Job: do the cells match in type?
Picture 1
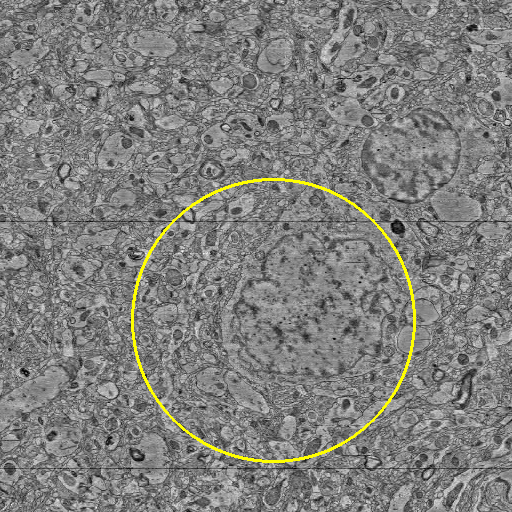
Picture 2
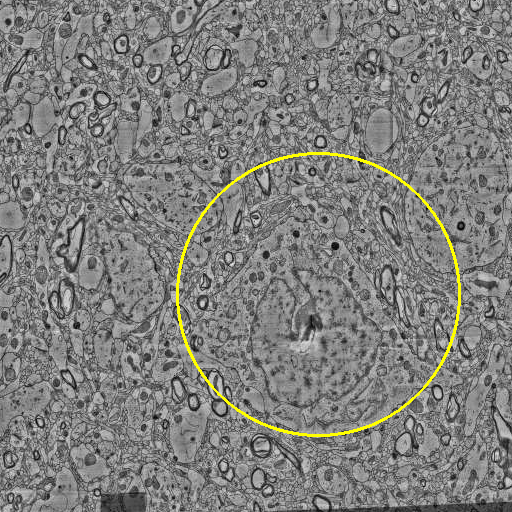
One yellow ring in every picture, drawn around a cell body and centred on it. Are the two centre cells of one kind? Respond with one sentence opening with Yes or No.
Yes, the ringed cells in the two pictures are of one and the same kind.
